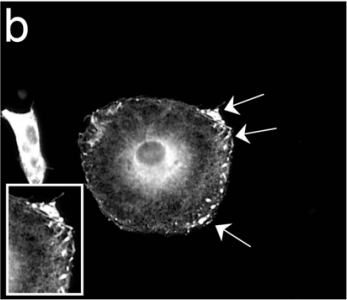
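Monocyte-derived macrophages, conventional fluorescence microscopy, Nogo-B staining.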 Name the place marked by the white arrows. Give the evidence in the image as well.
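The arrows point to bright dots and short streaks at the cell margin.
Periphery.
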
